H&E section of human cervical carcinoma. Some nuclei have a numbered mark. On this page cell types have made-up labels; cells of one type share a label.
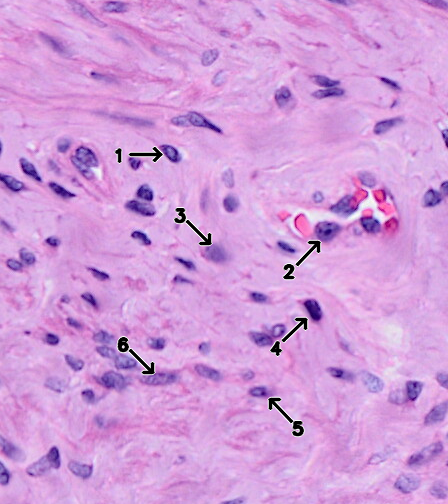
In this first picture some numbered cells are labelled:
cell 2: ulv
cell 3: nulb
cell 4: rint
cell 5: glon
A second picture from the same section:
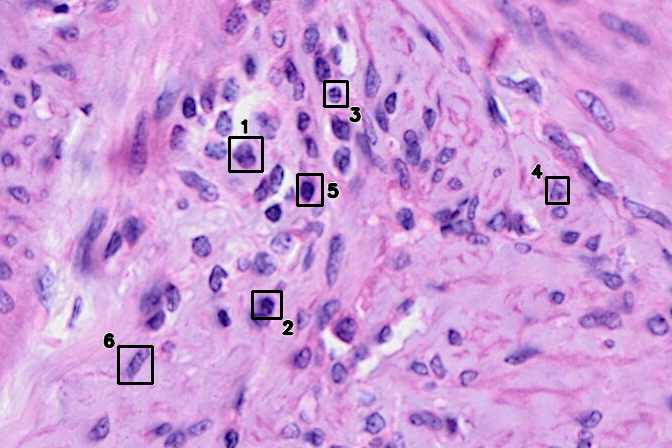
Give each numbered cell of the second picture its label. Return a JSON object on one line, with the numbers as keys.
{"1": "rint", "2": "rint", "3": "rint", "4": "glon", "5": "rint", "6": "nulb"}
